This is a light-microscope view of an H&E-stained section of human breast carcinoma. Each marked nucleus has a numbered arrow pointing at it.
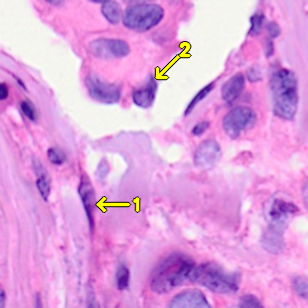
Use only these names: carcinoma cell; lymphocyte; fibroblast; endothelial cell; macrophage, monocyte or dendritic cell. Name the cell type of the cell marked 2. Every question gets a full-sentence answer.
Looking at the numbered marks, cell 2 is a carcinoma cell.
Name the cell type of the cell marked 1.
The cell given label 1 is a fibroblast.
